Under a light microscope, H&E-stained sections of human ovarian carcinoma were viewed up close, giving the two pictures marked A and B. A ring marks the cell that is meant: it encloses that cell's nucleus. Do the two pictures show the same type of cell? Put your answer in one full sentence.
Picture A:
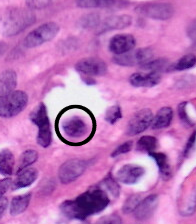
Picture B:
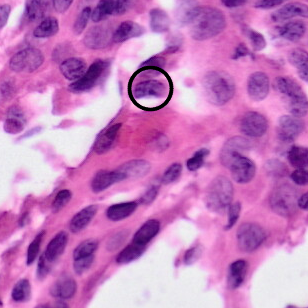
No; the cell in picture A is a carcinoma cell, while the one in picture B is a “macrophage or monocyte”.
